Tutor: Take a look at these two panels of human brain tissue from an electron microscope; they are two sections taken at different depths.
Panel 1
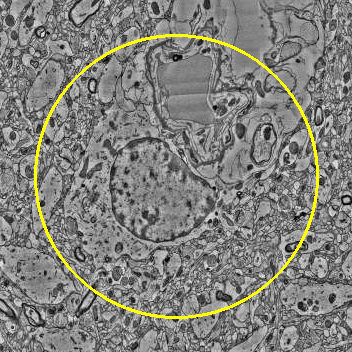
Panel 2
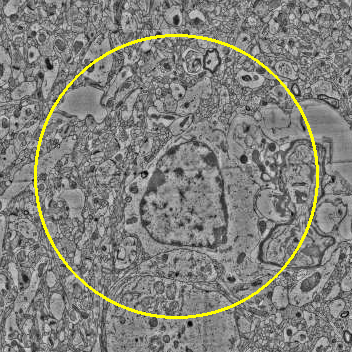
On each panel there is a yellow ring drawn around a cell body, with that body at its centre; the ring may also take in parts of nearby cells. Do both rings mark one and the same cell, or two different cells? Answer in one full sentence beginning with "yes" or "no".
No, the pair of yellow rings marks two distinct cells.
